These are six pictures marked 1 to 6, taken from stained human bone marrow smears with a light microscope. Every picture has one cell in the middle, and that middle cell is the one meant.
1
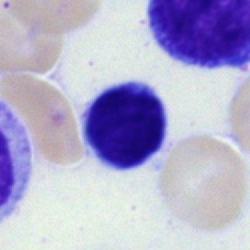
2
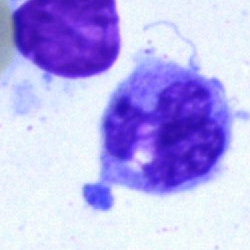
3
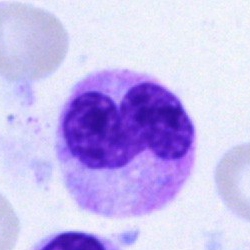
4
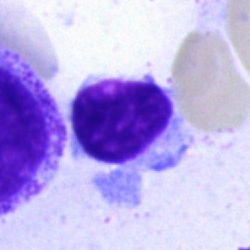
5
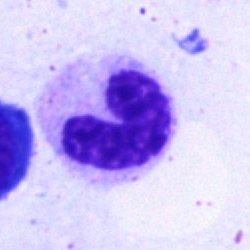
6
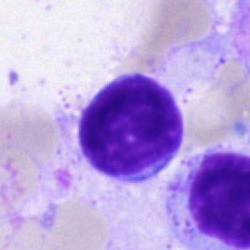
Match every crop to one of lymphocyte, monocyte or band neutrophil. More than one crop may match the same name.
1: lymphocyte
2: monocyte
3: band neutrophil
4: lymphocyte
5: band neutrophil
6: lymphocyte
